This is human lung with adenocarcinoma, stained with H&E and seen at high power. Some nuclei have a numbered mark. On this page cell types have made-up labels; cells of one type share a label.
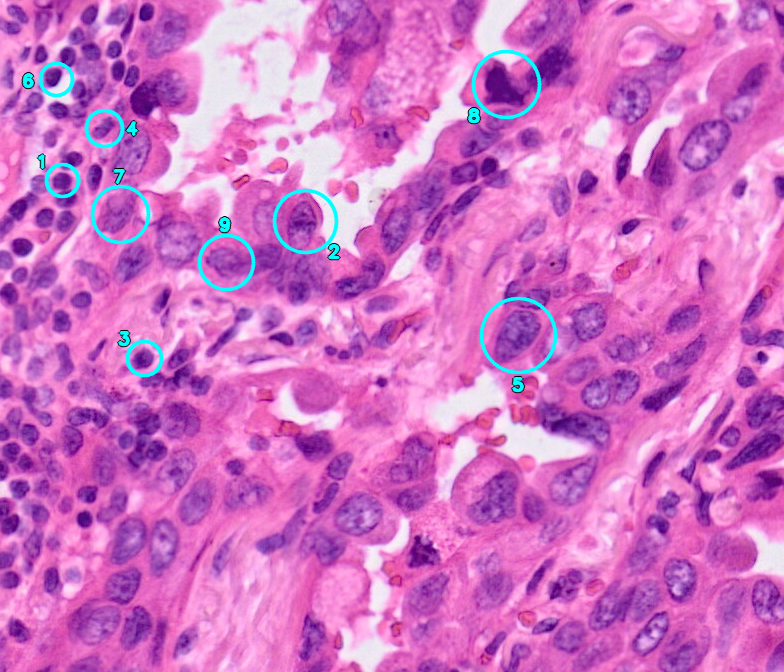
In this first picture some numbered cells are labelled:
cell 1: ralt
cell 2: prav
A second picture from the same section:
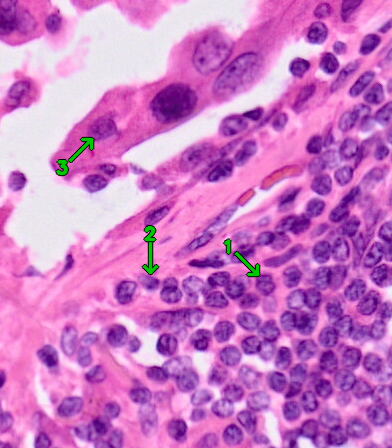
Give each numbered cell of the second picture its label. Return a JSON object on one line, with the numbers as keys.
{"1": "ralt", "2": "ralt", "3": "prav"}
